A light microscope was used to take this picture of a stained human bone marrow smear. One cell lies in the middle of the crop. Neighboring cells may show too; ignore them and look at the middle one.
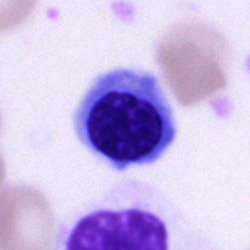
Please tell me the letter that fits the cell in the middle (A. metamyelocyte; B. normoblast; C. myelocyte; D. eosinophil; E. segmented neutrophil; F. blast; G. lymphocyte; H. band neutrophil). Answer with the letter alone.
B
